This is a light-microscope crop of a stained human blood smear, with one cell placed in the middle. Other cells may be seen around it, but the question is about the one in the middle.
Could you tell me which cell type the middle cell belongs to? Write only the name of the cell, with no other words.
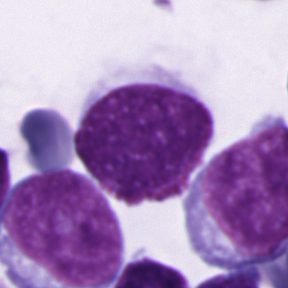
blast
